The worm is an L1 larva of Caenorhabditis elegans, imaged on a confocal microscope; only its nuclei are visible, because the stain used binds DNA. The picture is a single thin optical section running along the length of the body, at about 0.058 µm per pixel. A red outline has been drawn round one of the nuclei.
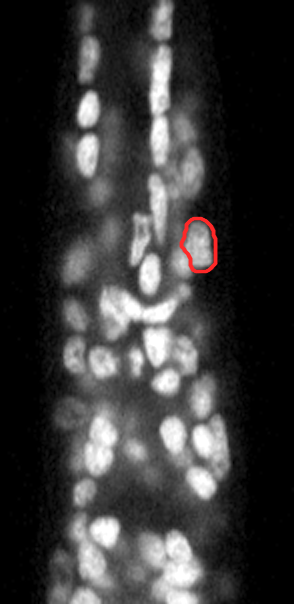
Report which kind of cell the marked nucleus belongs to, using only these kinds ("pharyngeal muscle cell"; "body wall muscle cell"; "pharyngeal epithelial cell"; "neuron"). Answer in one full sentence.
The marked nucleus is that of a body wall muscle cell.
